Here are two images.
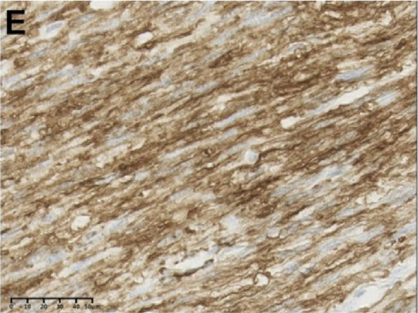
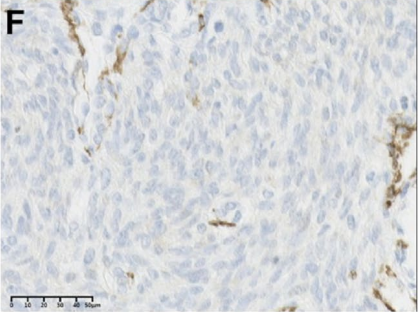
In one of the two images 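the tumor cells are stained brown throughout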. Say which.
The first image.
